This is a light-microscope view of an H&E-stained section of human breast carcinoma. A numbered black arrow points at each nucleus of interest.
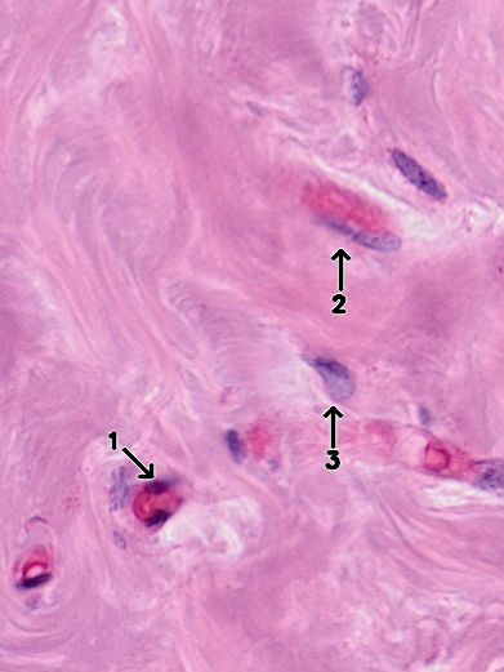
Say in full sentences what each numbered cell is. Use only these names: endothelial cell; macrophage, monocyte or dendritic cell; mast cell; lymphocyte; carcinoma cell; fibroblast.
Cells 1 and 2 are endothelial cells. Cell 3 is a fibroblast.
